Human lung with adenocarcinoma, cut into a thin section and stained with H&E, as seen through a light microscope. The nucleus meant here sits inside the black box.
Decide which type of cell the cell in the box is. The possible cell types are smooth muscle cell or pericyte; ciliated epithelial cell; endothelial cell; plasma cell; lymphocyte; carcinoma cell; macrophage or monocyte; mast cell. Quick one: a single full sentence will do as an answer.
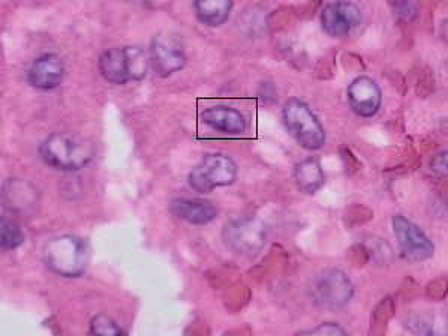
At the level of cell identity, the cell in the box is a macrophage or monocyte.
